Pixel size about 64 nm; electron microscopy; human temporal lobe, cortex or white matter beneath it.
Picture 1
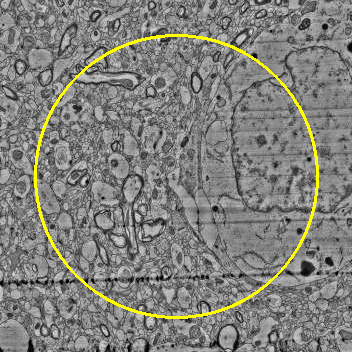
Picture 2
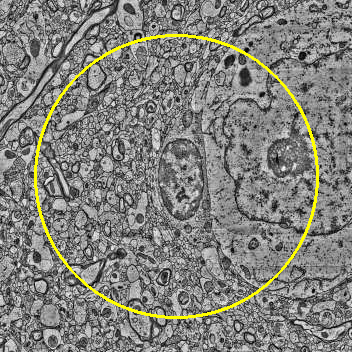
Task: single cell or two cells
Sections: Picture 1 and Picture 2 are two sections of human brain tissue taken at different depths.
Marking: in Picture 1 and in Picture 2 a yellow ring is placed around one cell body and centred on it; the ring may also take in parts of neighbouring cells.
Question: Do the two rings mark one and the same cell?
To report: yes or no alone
yes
